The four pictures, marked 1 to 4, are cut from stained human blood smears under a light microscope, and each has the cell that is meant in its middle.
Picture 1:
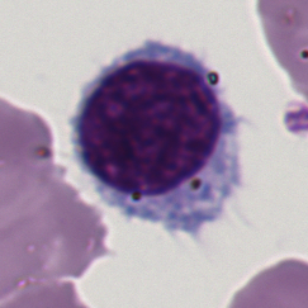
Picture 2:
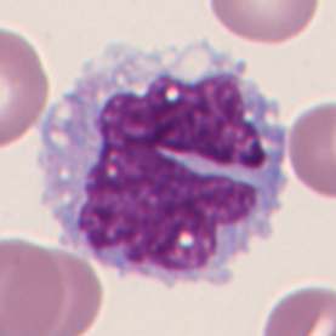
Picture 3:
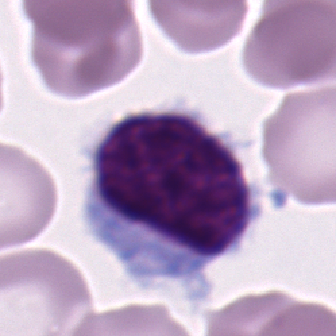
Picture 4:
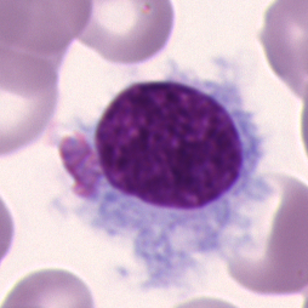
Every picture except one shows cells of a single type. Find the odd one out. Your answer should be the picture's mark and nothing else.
2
